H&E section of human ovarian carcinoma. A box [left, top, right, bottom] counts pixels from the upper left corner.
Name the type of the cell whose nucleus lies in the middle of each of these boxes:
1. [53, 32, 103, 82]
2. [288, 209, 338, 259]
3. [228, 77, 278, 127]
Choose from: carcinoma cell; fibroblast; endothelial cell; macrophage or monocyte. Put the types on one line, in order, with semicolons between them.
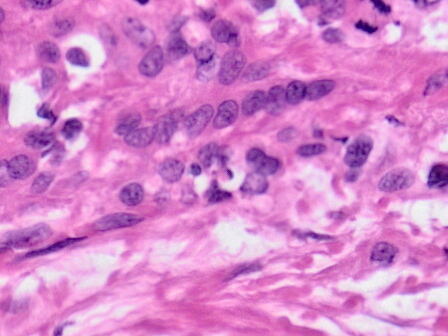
carcinoma cell; fibroblast; carcinoma cell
